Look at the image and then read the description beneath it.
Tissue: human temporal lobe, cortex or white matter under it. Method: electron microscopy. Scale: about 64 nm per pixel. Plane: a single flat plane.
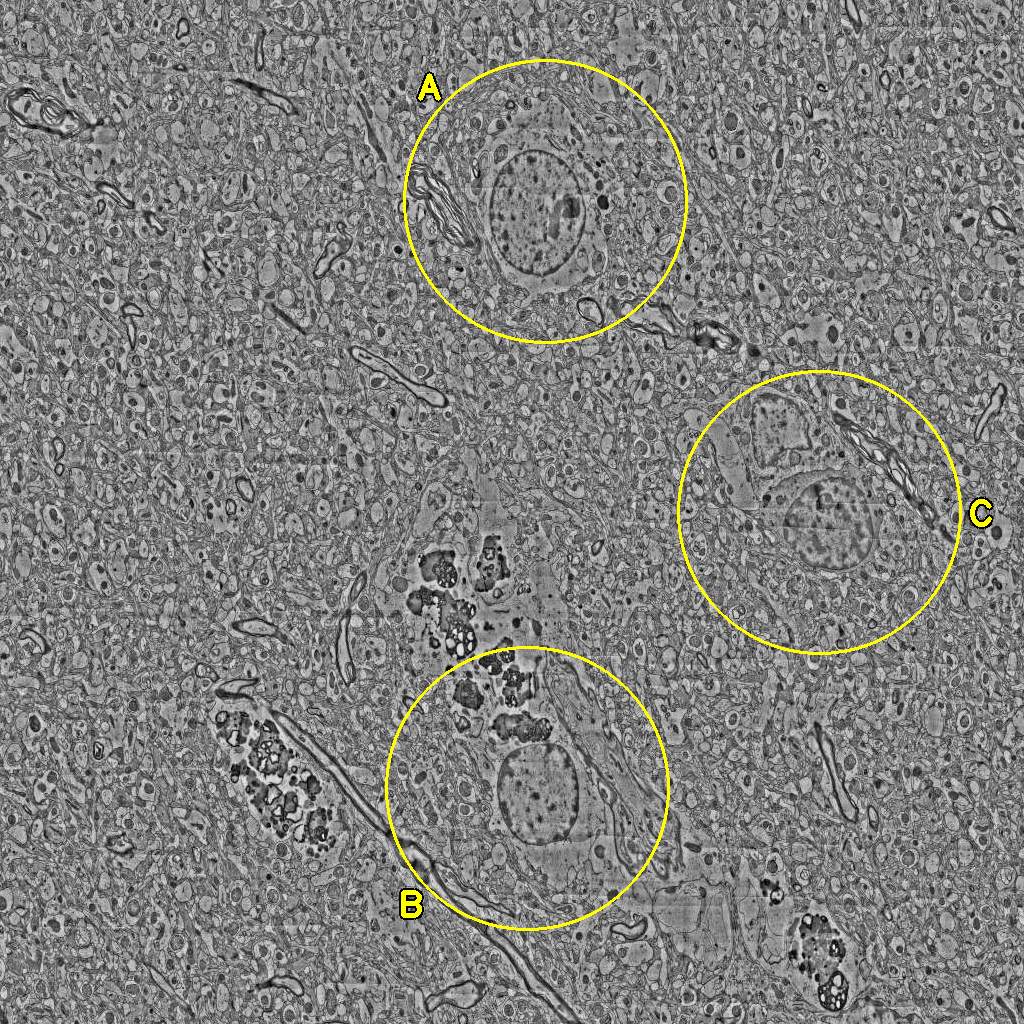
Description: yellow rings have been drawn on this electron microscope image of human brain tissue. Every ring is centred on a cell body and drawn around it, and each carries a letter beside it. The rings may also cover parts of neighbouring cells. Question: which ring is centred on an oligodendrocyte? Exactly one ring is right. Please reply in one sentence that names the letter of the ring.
It is ring C.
